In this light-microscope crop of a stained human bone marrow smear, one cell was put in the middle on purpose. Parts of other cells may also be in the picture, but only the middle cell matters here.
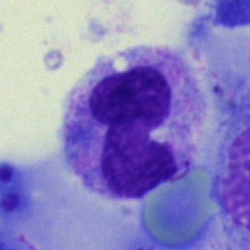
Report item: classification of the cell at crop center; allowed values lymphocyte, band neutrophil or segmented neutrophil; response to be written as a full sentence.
The cell marked by its central position in the crop is a band neutrophil.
